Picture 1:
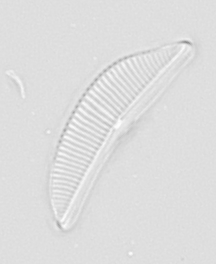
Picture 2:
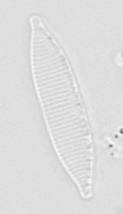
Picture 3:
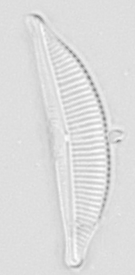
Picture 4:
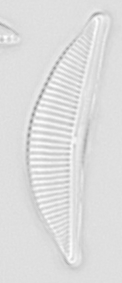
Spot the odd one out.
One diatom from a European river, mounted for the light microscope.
Picture 2 (Nitzschia among Halamphora).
